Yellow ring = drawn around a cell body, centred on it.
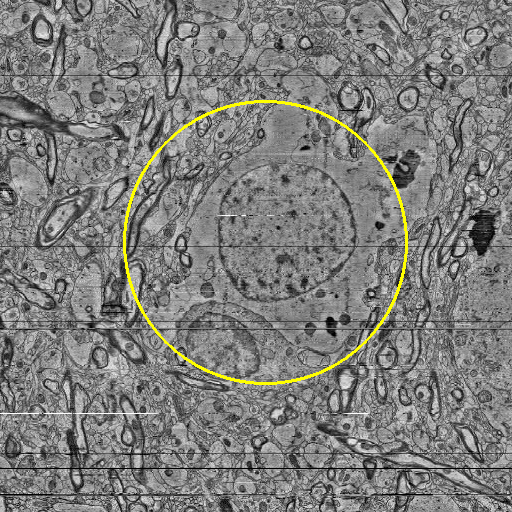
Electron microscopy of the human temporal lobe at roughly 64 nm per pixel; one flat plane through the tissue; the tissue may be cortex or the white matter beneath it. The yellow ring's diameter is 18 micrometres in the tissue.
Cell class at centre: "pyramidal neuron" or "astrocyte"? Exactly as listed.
astrocyte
